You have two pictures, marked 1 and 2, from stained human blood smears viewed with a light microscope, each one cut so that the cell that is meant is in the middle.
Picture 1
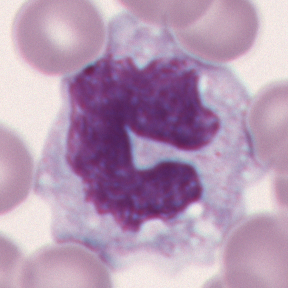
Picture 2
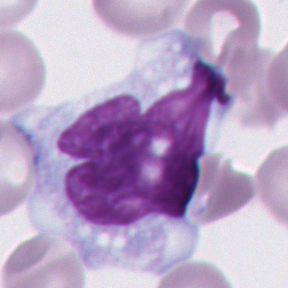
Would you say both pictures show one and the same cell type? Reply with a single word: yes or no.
yes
